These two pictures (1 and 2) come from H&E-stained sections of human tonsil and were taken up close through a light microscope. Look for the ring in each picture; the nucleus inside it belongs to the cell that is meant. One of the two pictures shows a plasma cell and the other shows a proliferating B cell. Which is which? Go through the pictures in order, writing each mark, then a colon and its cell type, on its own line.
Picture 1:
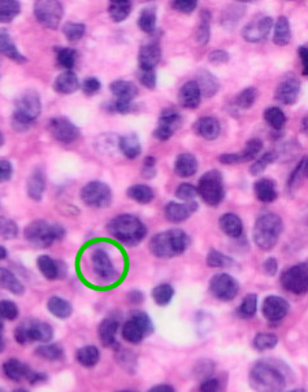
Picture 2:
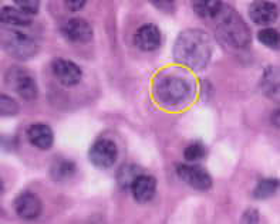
1: proliferating B cell
2: plasma cell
